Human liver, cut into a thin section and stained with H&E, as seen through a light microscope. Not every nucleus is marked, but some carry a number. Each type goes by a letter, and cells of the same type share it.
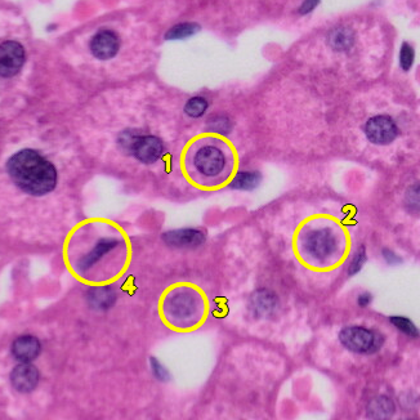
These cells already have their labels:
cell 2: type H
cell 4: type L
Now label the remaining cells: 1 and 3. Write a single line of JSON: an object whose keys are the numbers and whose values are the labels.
{"1": "type H", "3": "type H"}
